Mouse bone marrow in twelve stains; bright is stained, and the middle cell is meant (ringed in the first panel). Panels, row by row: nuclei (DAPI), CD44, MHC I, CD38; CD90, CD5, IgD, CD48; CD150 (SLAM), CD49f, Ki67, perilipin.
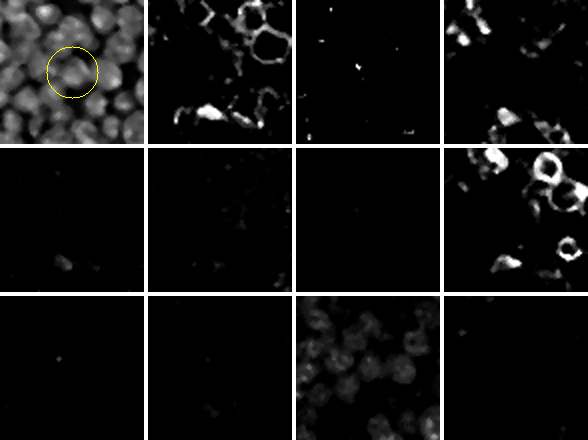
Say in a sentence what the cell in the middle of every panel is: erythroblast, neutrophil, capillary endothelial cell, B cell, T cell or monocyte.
This is an erythroblast.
